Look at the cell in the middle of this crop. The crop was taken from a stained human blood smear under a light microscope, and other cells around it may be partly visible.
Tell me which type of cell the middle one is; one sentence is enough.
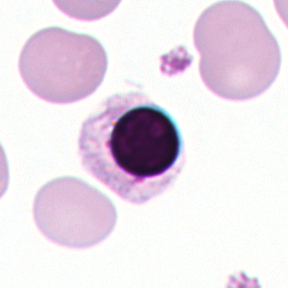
Looking at the middle of the crop, the cell there is a normoblast.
